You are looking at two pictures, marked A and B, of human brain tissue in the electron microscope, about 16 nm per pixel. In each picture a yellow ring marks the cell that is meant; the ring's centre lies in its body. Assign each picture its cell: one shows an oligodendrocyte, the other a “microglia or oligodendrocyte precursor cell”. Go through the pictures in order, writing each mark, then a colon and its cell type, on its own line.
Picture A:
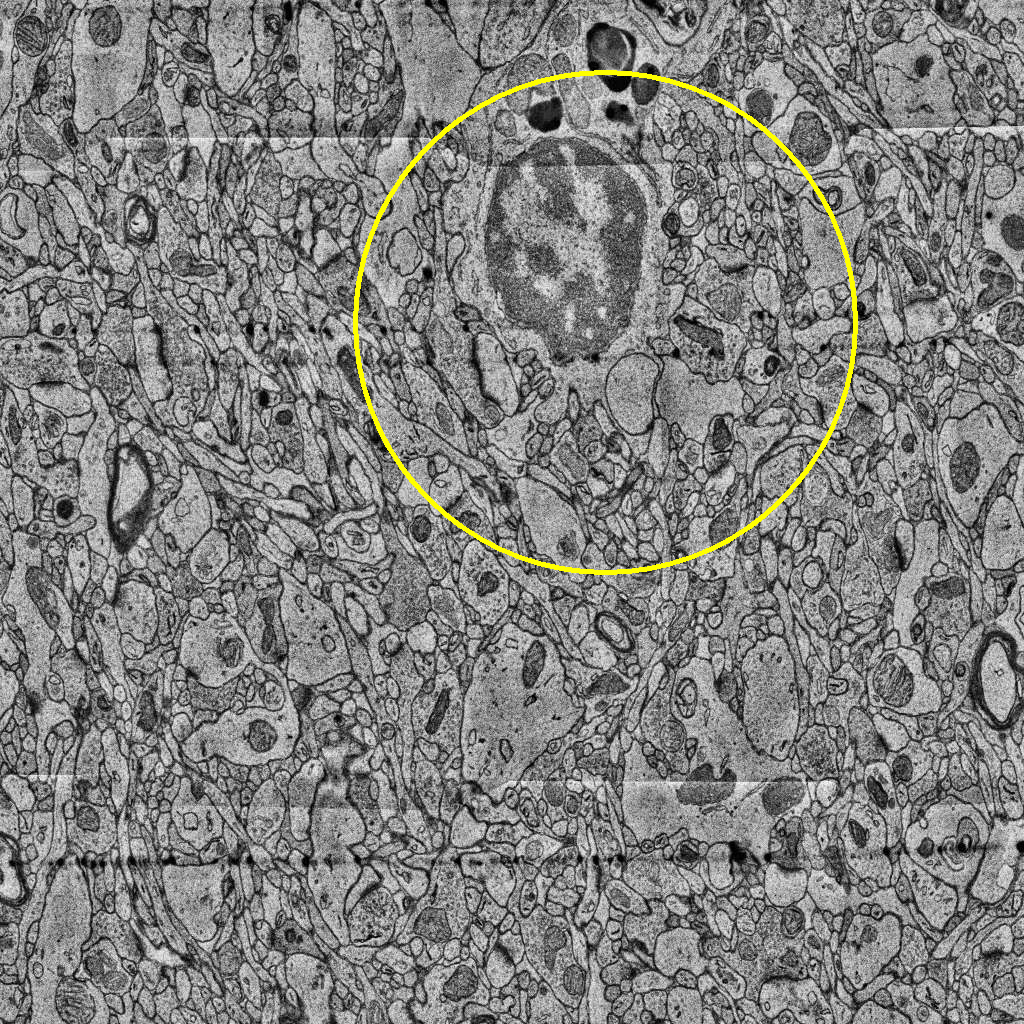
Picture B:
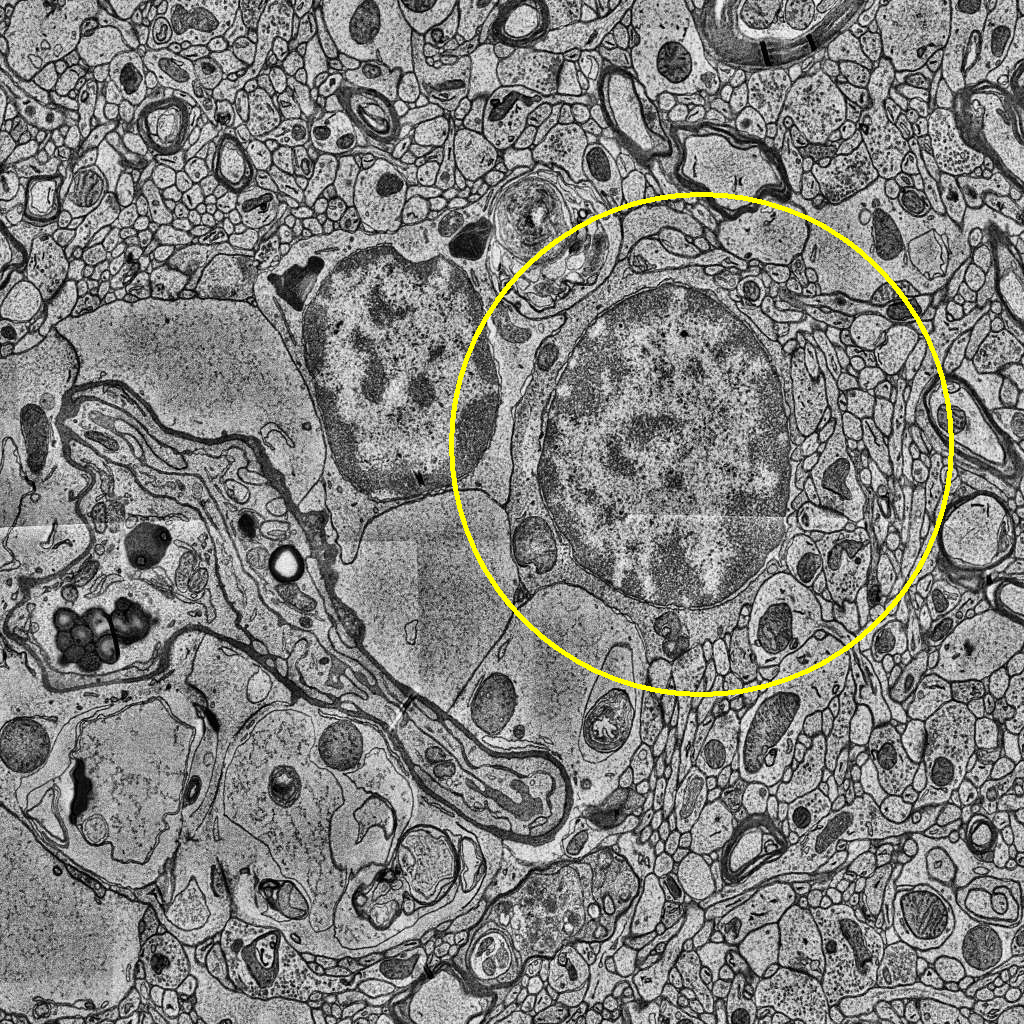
A: microglia or oligodendrocyte precursor cell
B: oligodendrocyte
